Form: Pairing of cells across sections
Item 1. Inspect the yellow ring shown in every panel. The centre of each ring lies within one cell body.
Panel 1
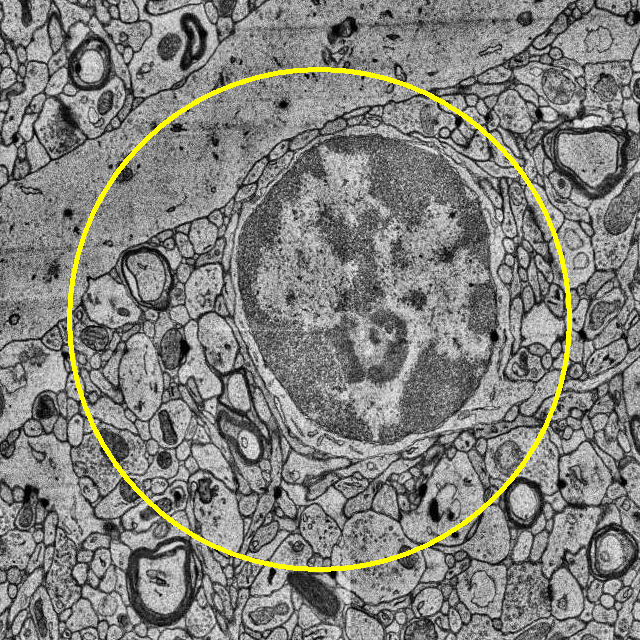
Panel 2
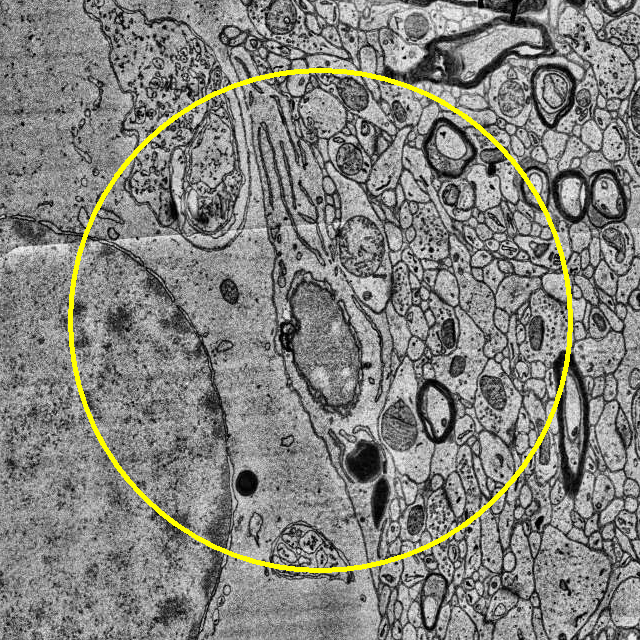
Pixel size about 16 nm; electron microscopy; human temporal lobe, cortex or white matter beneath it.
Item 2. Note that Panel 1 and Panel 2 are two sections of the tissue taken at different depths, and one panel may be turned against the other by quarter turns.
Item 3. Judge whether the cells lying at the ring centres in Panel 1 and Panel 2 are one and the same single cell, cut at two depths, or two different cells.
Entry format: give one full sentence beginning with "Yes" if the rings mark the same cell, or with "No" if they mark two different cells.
No, the two rings were placed on two different cells.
